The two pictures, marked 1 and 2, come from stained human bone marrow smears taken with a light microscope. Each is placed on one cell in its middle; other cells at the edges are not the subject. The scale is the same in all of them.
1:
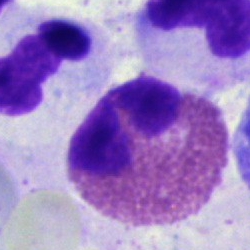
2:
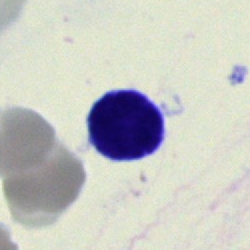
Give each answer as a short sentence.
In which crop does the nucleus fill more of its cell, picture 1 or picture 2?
It is the cell in picture 2 that is filled more by its nucleus.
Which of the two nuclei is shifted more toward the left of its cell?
The nucleus in picture 1 lies further toward the left of its cell.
